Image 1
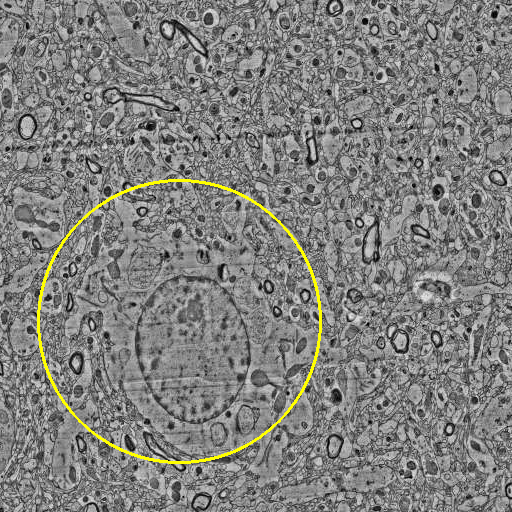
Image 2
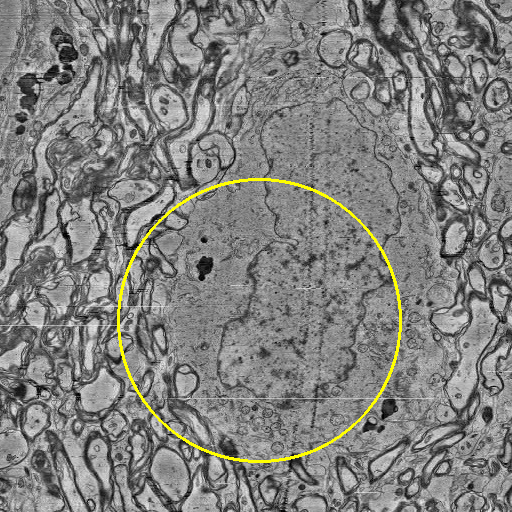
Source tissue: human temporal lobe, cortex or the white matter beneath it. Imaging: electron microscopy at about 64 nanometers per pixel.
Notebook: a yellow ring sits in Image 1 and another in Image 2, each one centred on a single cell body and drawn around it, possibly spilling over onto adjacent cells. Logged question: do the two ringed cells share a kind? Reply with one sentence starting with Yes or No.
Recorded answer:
No, the centre cells inside the rings of Image 1 and Image 2 are of two kinds.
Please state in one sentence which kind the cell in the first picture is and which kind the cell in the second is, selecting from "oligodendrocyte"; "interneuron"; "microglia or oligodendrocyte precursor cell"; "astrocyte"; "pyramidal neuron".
The first ringed cell is an astrocyte, the second ringed cell a pyramidal neuron.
